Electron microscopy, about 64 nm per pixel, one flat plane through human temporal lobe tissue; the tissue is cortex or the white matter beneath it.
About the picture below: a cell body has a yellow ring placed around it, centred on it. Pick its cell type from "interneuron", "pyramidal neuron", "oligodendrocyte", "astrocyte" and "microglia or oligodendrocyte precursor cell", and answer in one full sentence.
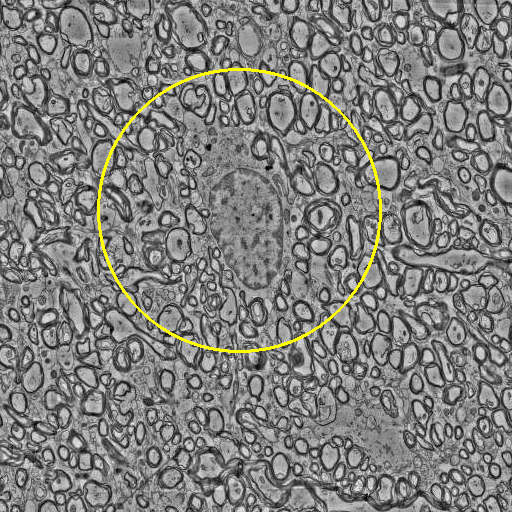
In the picture, an oligodendrocyte is the cell sitting at the centre of the yellow ring.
